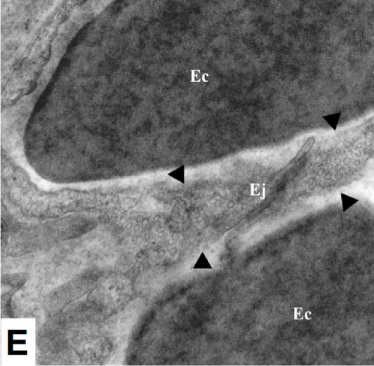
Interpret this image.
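Two dense, dark red blood cells lie close together in capillary space, with a narrow pale rim around each. Between them runs a thin strip of cellular material, marked at its edges by arrowheads, that divides the space into two; a junctional contact lies within this strip.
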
